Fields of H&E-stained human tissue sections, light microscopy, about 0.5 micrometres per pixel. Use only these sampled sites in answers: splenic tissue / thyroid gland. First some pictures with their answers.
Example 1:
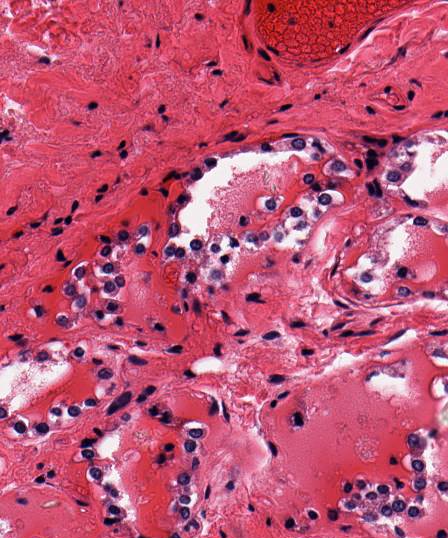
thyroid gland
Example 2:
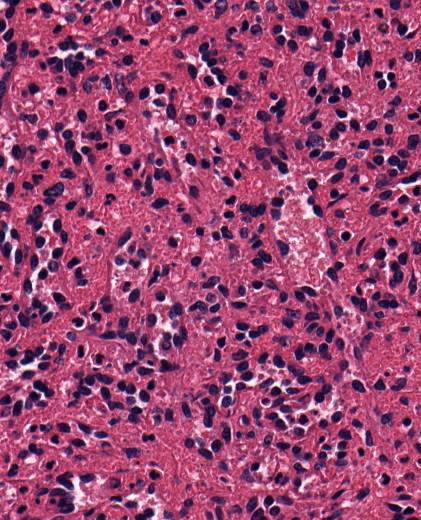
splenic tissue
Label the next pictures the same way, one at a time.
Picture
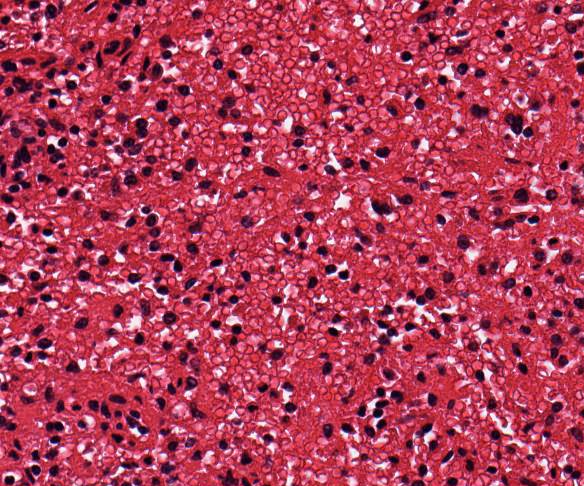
splenic tissue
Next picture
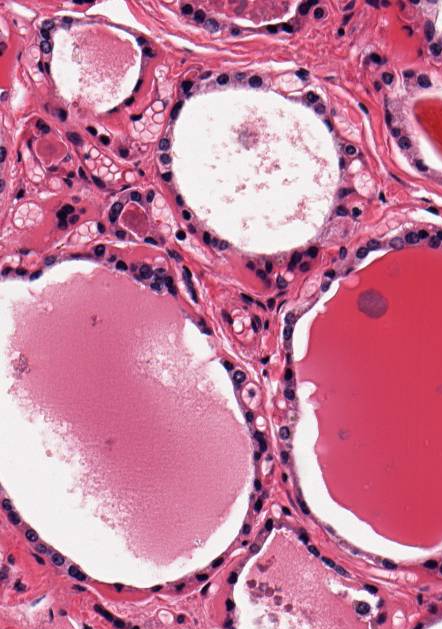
thyroid gland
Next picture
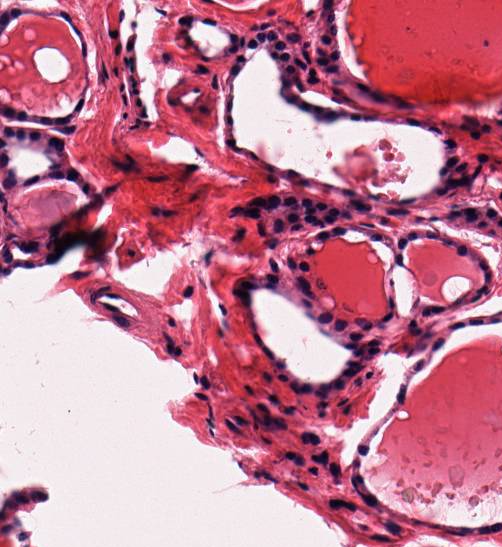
thyroid gland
